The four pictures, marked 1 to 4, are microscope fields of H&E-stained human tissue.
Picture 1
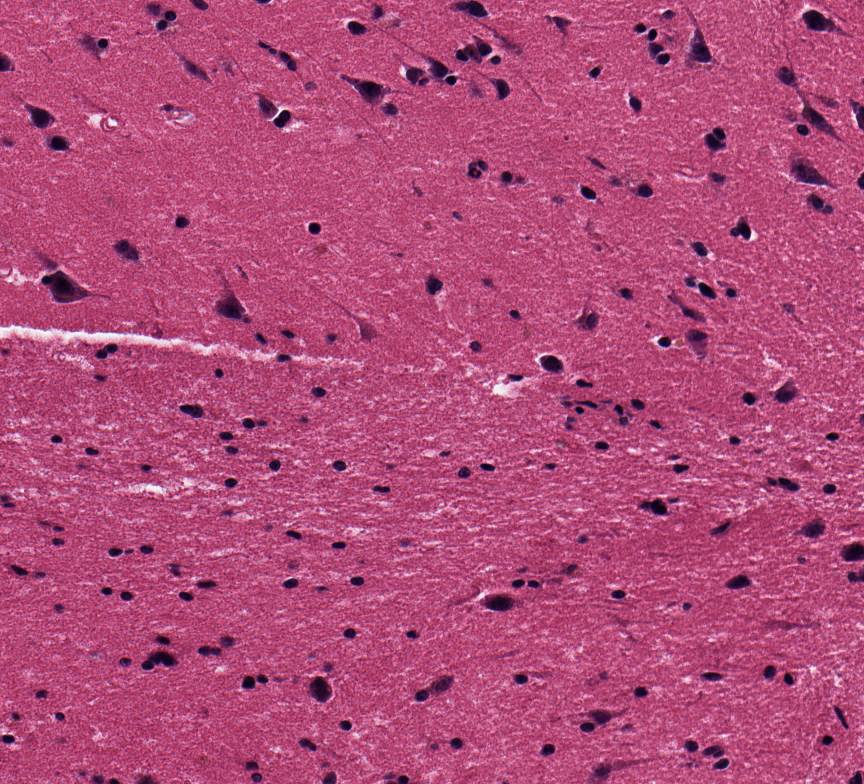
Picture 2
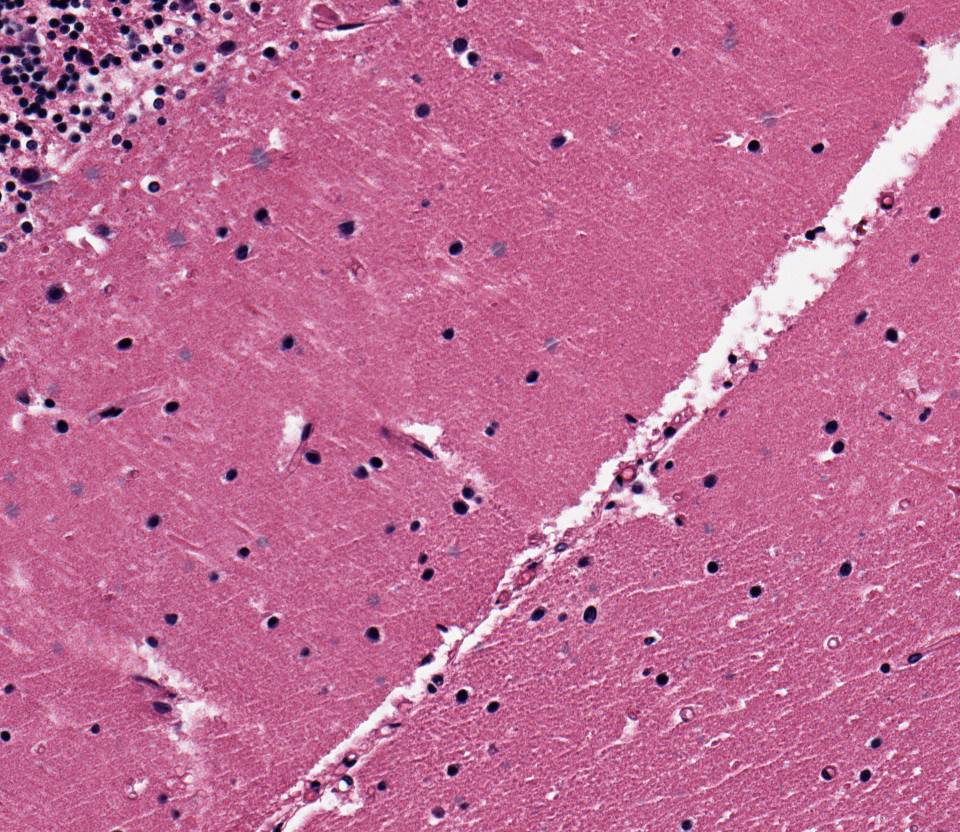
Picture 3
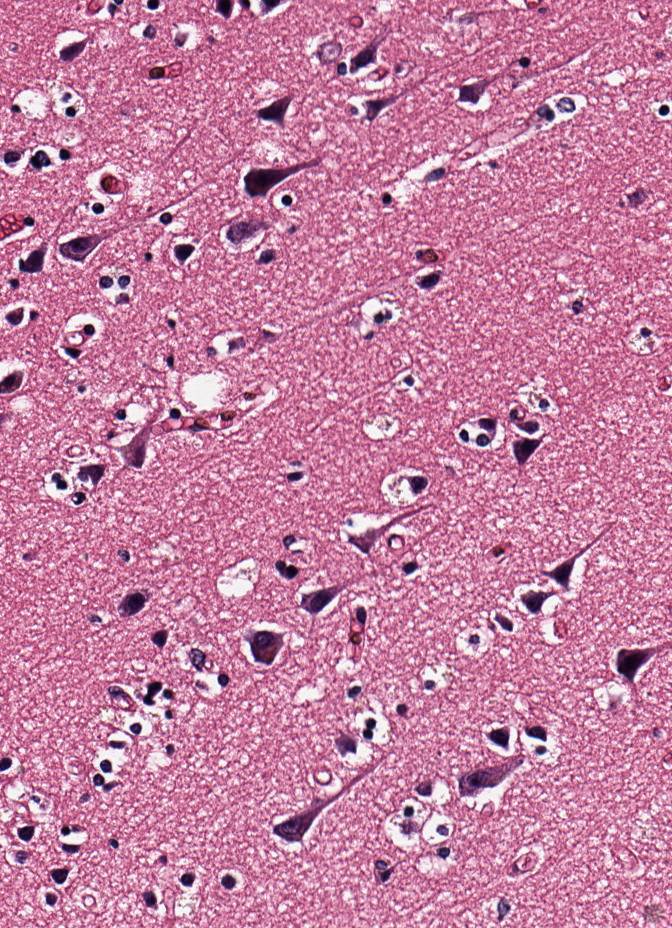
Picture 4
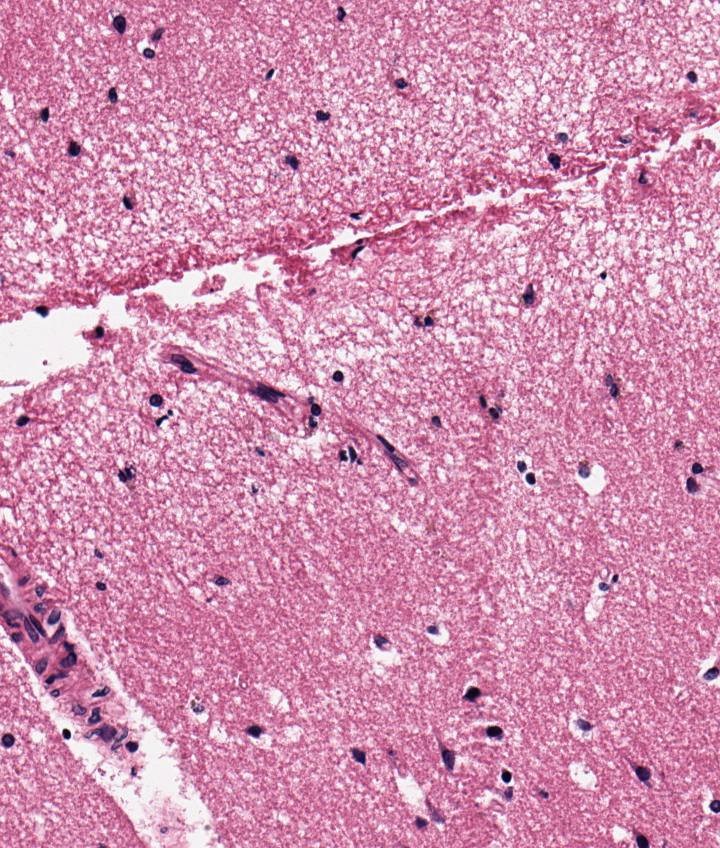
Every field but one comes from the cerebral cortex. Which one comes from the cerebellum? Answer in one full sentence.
Picture 2 comes from the cerebellum.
